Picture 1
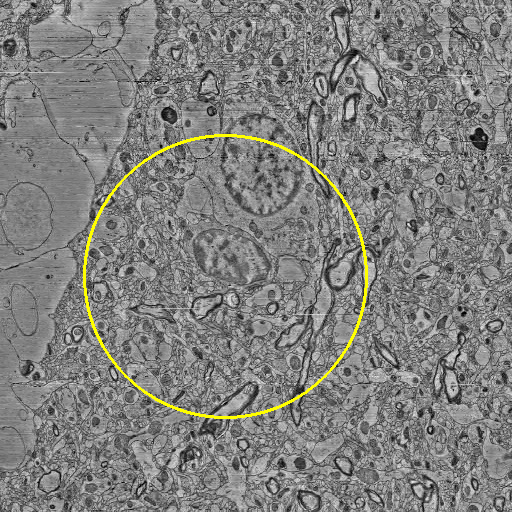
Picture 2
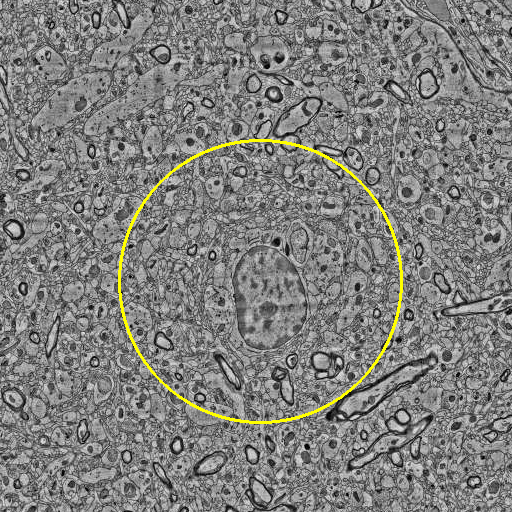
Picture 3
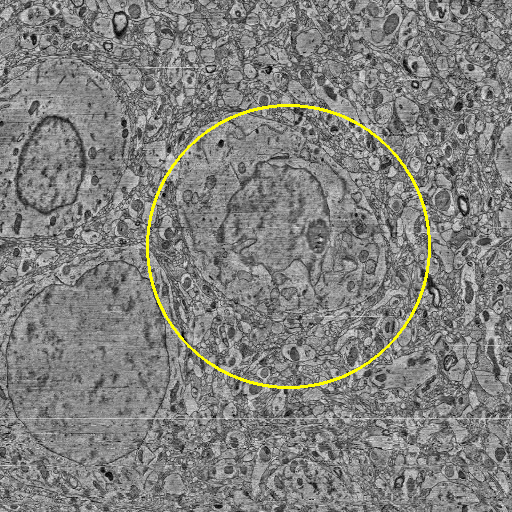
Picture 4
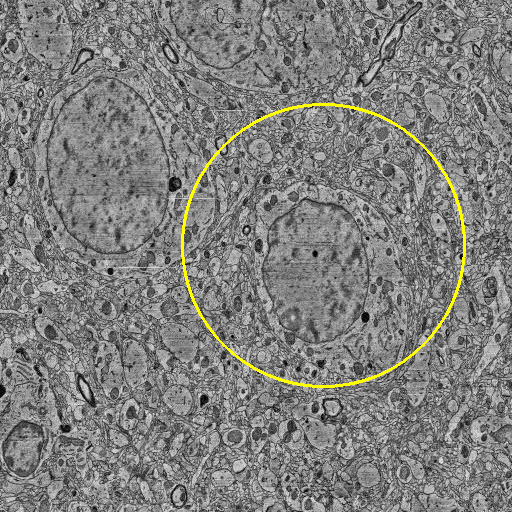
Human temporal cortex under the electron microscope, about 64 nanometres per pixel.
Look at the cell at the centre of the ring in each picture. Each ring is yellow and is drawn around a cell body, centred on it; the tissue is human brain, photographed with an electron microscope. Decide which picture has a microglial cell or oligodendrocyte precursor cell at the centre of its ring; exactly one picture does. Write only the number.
2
